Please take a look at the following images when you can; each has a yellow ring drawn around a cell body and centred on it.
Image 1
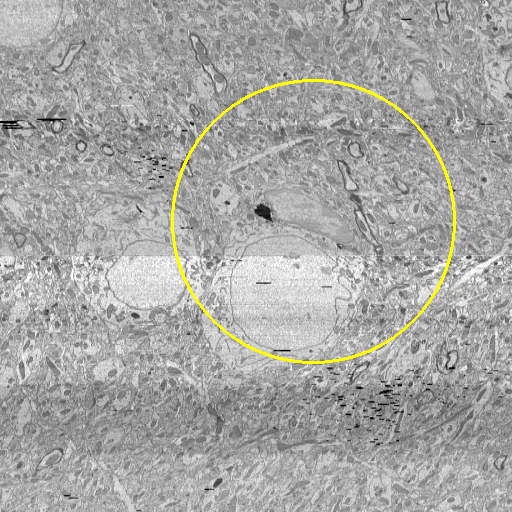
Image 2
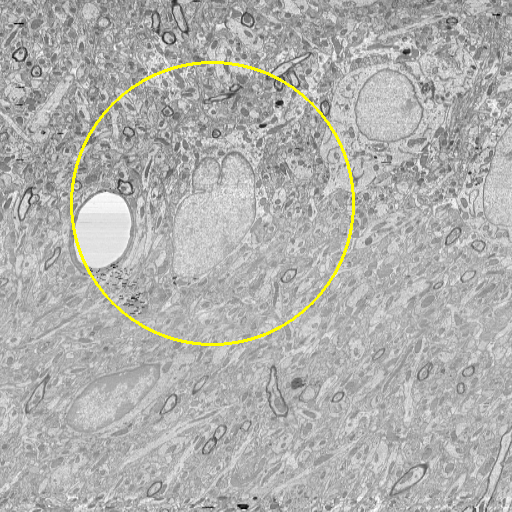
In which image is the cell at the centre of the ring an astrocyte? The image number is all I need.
2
